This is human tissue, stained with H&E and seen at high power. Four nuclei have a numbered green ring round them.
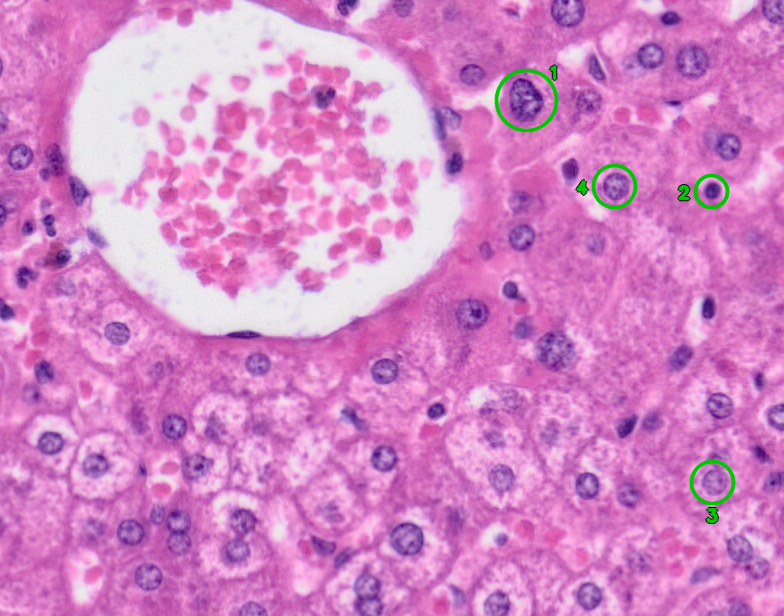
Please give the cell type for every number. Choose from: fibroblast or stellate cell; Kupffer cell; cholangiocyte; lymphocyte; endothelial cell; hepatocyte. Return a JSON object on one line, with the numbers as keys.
{"1": "hepatocyte", "2": "lymphocyte", "3": "hepatocyte", "4": "hepatocyte"}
